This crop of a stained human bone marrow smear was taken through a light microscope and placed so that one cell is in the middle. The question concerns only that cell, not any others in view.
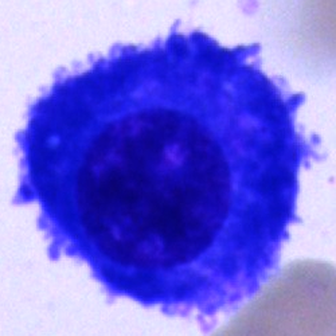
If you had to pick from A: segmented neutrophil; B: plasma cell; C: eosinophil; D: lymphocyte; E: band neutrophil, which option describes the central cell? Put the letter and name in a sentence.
That middle cell is a plasma cell, and option B is therefore correct.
